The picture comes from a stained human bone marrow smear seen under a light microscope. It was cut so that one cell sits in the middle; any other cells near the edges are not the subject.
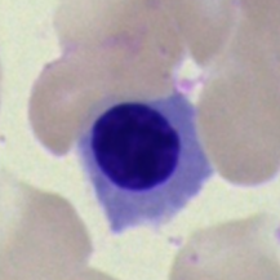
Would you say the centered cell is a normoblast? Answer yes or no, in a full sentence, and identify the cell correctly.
Yes, within this crop, the central cell is a normoblast.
